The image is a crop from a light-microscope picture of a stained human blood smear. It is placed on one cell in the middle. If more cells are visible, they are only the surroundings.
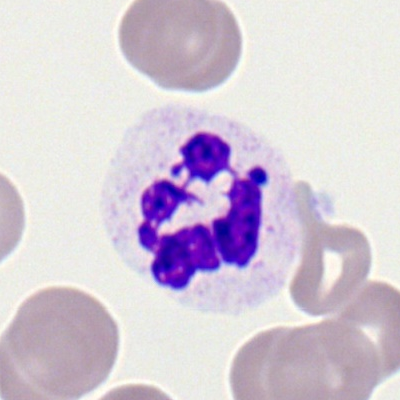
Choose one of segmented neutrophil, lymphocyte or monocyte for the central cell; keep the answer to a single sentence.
Here the centrally located cell is a segmented neutrophil.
